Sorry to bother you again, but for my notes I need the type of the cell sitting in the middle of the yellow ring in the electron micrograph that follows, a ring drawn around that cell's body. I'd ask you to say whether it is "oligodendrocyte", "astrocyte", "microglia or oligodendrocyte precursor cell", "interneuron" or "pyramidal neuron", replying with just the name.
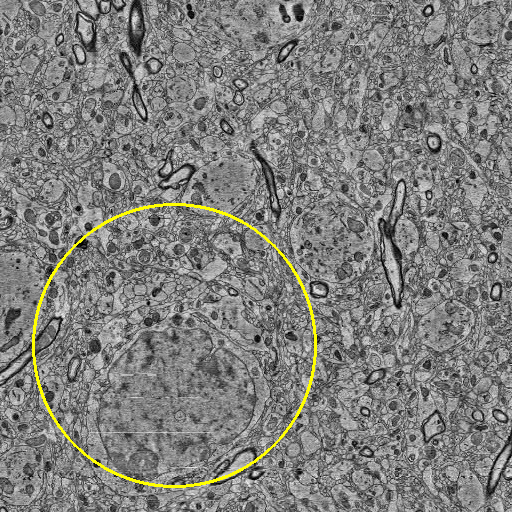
interneuron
